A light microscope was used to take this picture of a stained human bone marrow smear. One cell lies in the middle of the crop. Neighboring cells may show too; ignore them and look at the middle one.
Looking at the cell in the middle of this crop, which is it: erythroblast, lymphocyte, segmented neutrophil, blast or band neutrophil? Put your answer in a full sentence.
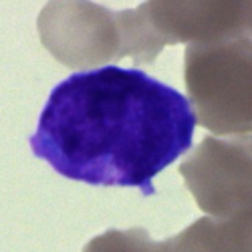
The cell marked by its central position in the crop is a blast.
